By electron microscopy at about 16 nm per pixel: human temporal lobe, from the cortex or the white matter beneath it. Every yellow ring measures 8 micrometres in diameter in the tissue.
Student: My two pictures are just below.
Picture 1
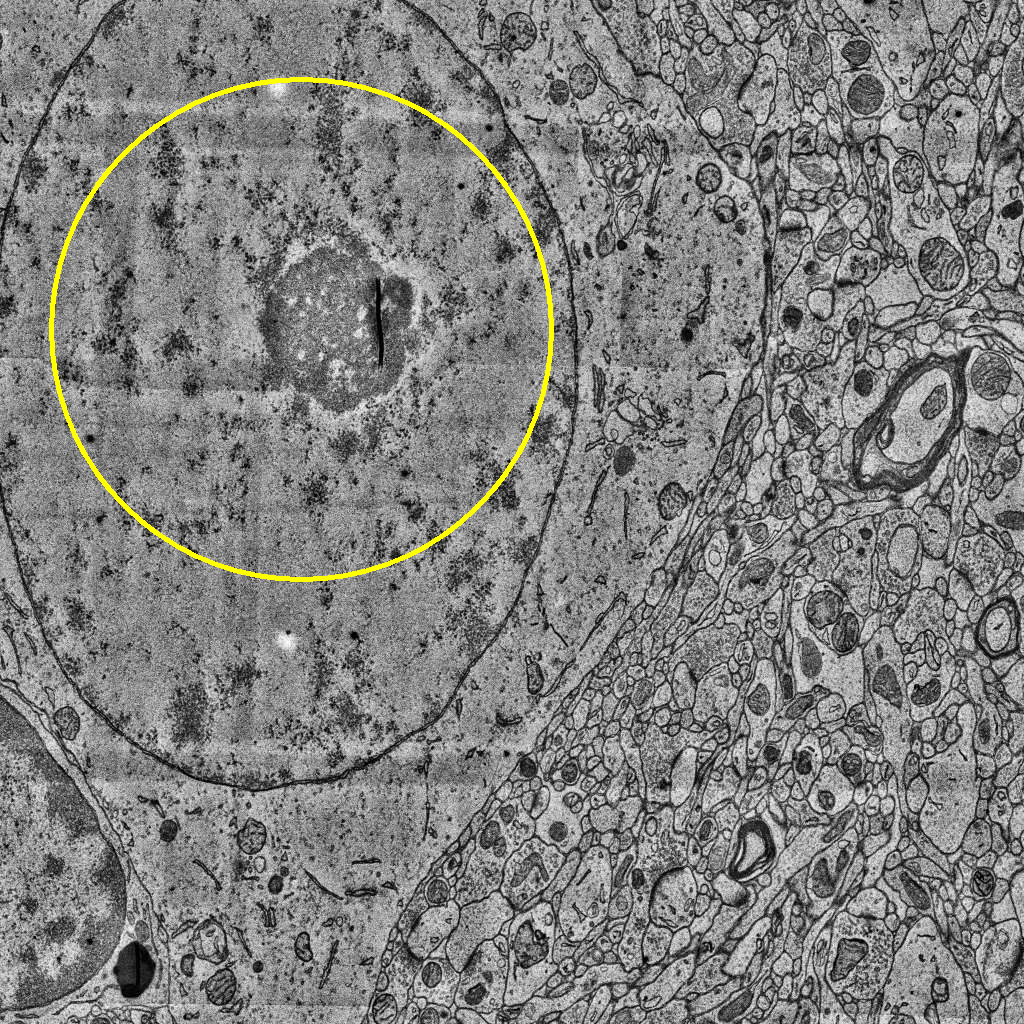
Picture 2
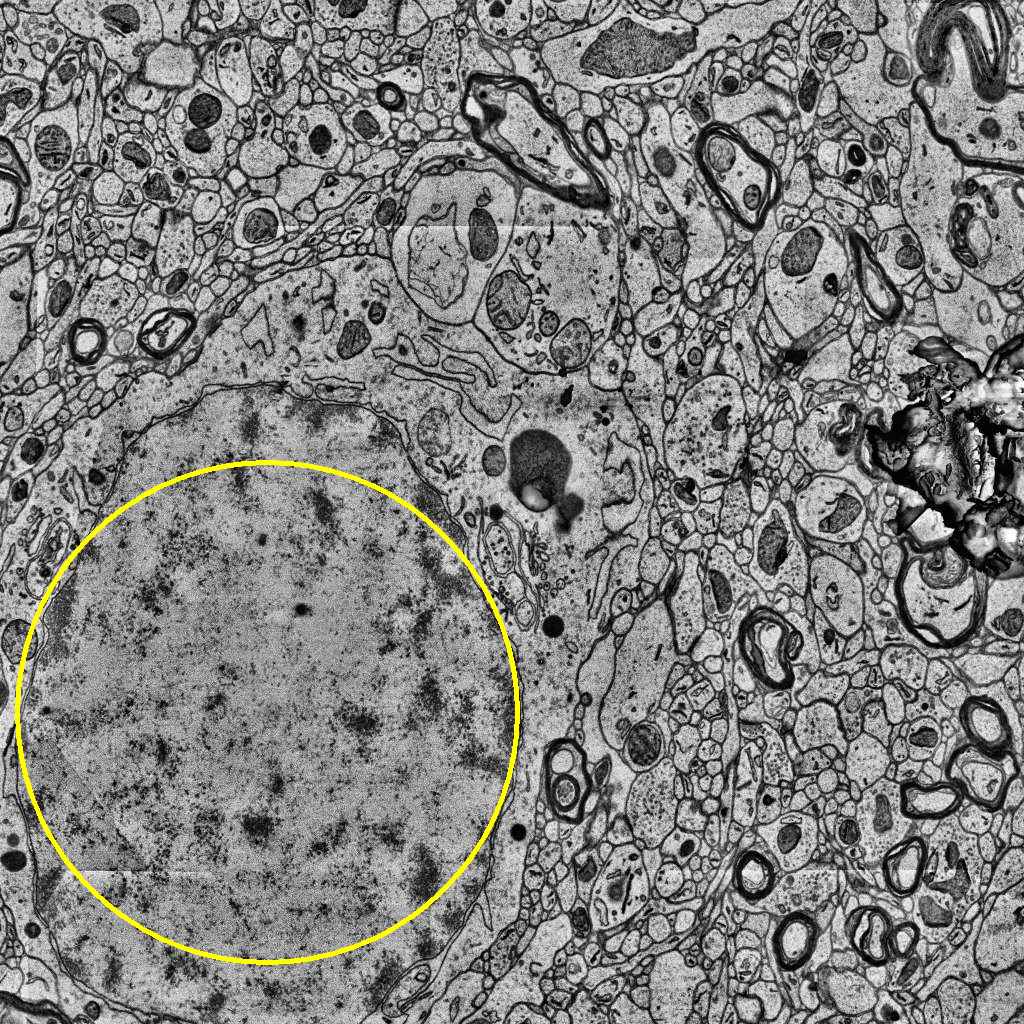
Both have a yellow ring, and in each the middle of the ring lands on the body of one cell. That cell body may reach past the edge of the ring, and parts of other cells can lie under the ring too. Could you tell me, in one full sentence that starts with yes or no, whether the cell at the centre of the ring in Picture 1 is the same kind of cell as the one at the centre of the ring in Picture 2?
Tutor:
No, the two cells are of two kinds.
